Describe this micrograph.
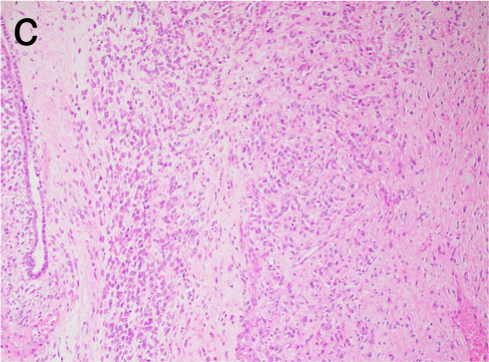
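This field shows a cellular tumour made of oval to spindle-shaped cells packed in sheets and loose fascicles, with elongated to oval purple nuclei and pale pink cytoplasm with indistinct borders. Toward the right the cells become more elongated and streaming. At the left edge a duct-like space is lined by a single layer of epithelial cells, bordered by paler pink collagenous stroma. Apart from this focus, the tumour forms no glands, giving a sarcomatous appearance, with a focal dilated glandular ductal structure.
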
